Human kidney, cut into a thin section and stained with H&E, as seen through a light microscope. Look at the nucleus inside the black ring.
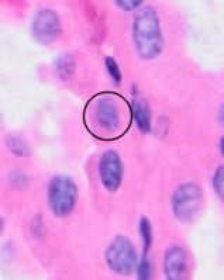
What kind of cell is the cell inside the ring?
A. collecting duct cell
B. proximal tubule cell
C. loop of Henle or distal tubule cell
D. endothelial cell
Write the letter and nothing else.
C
